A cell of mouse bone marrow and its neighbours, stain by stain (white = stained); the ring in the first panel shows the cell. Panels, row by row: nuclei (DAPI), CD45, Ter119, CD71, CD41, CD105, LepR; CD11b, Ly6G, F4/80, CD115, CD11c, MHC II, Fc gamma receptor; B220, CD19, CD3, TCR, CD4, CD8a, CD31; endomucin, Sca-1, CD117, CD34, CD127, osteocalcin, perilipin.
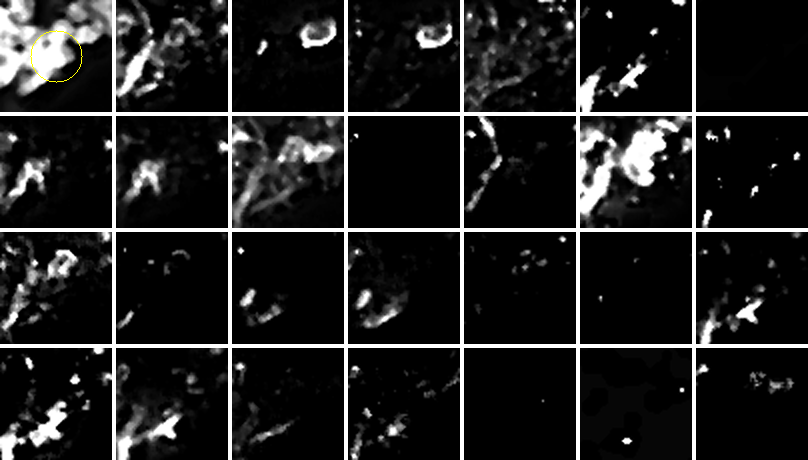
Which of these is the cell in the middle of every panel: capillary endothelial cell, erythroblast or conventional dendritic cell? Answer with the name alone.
capillary endothelial cell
